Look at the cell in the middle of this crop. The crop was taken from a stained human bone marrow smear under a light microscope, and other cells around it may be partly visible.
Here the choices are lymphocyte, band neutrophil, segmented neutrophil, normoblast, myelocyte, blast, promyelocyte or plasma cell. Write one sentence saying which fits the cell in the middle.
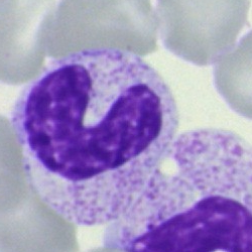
By classification, the middle cell of this crop is a band neutrophil.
